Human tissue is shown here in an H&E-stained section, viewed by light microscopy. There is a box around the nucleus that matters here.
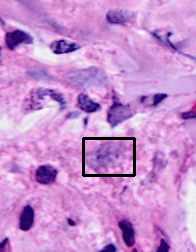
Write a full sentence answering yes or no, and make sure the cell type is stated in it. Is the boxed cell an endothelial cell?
No, the boxed cell is recorded as a fibroblast instead of an endothelial cell.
